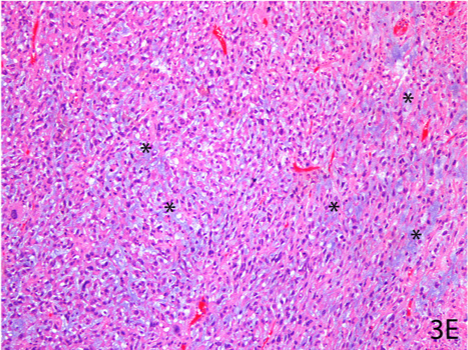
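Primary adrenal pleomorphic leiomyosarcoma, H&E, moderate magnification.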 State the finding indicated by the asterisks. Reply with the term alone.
Myxoid.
